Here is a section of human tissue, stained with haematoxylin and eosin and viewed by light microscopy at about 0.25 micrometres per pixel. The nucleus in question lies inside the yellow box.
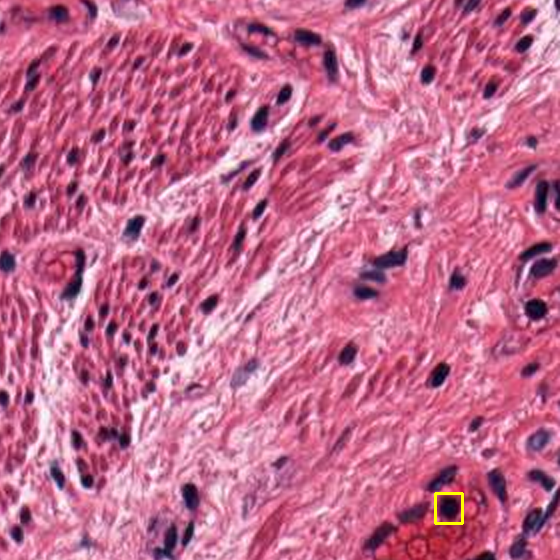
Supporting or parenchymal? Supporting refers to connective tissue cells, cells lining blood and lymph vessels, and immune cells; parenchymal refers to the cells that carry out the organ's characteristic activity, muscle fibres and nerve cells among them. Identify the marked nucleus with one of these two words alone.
supporting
